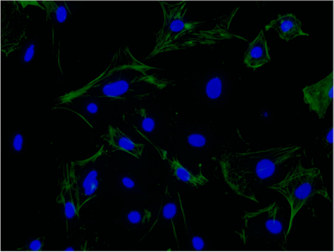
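Scattered cultured cells with blue oval nuclei are shown, several of them spread into irregular, branching shapes outlined by green filaments. The green filaments form fine fibrous networks and thin strands extending into long cell processes, while a number of nuclei lie without obvious green filaments around them.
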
